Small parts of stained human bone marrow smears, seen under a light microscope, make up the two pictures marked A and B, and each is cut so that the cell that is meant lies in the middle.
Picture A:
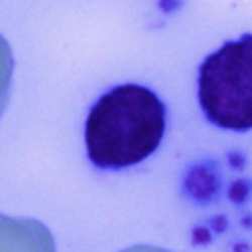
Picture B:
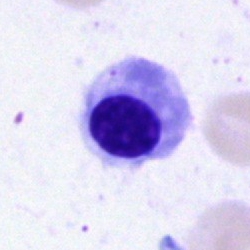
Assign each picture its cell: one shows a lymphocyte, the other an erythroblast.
A: lymphocyte
B: erythroblast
